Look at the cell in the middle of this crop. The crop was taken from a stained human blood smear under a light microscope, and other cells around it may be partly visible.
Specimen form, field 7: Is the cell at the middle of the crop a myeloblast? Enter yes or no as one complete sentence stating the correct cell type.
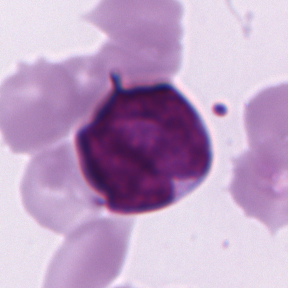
Yes, the cell in the middle is a myeloblast.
